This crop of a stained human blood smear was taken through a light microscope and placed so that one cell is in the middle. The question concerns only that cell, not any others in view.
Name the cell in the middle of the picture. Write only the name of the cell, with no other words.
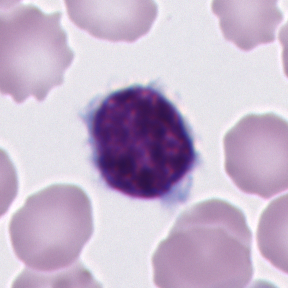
hairy cell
